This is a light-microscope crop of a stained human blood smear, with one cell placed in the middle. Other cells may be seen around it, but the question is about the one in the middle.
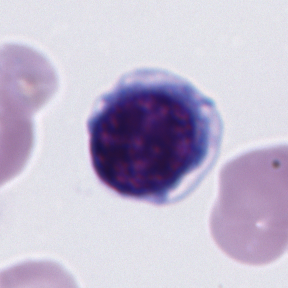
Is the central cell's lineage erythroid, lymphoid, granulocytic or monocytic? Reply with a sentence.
The cell in the middle is to be grouped with the erythroid lineage.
